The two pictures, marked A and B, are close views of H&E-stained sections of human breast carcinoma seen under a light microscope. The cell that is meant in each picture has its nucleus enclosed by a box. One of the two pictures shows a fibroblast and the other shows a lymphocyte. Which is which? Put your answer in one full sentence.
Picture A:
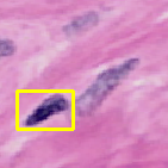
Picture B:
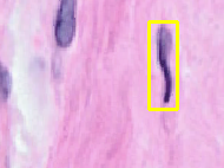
In picture A the cell is a lymphocyte; in picture B, a fibroblast.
